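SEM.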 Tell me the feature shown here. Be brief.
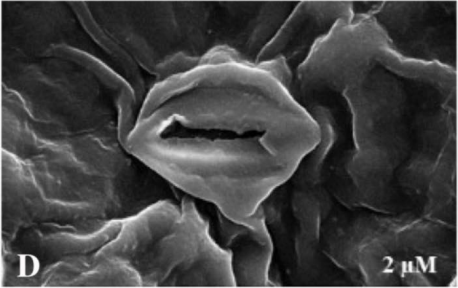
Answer: Stomata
